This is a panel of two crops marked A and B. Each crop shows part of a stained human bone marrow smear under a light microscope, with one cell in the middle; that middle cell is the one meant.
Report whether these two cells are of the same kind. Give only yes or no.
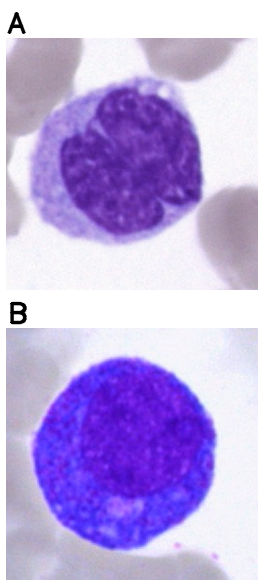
no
